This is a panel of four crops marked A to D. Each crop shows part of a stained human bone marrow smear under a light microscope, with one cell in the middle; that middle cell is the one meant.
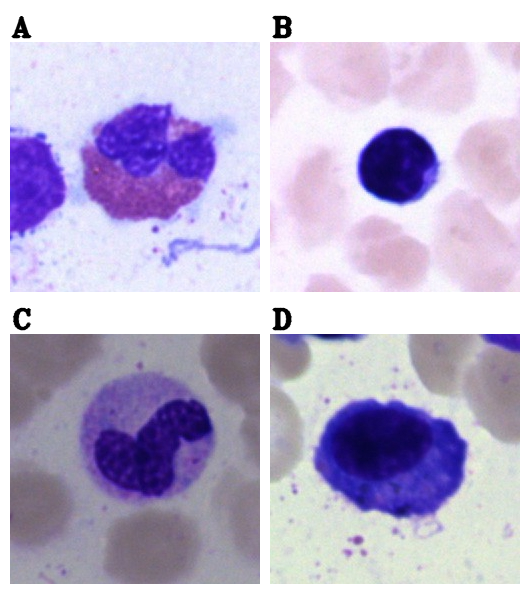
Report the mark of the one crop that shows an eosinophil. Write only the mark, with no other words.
A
